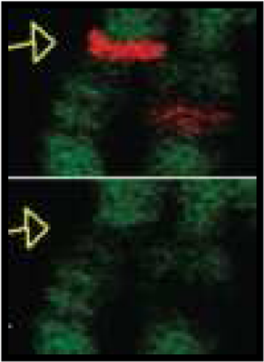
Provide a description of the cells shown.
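This is a close view of a short stretch of polytene chromosome arms, shown in green, above a repeat of the same field in green alone. Red stripes lie in the dark gaps between green bands rather than on them. An arrow at the left points to one such red stripe and to the same level in the lower view, where only a gap is seen.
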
